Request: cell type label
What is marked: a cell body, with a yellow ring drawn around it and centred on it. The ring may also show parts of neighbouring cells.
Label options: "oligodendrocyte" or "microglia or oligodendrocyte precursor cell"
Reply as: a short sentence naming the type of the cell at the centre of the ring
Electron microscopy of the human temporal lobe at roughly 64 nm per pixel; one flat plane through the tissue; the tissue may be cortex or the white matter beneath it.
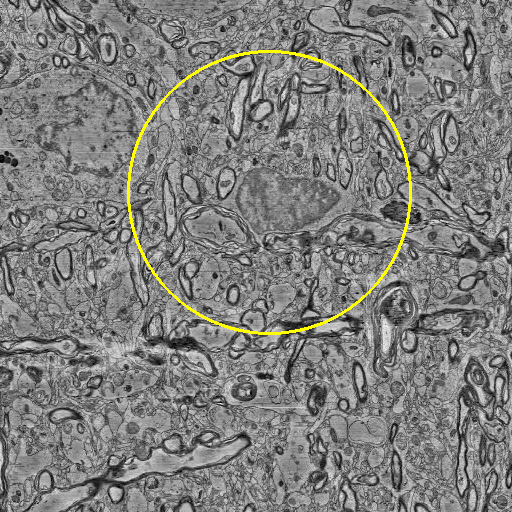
The marked cell body is that of an oligodendrocyte.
